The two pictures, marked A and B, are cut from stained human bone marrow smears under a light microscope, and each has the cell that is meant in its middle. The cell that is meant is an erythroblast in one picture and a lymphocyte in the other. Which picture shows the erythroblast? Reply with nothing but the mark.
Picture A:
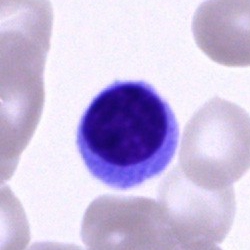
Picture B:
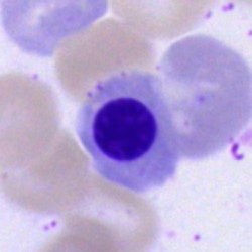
B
